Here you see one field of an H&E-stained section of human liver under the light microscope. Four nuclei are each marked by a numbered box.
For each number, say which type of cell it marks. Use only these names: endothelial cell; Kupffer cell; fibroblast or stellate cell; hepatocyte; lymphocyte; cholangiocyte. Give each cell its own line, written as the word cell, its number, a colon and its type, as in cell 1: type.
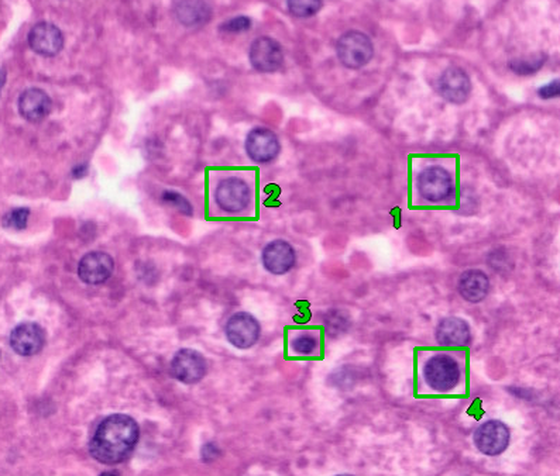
cell 1: hepatocyte
cell 2: hepatocyte
cell 3: lymphocyte
cell 4: hepatocyte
